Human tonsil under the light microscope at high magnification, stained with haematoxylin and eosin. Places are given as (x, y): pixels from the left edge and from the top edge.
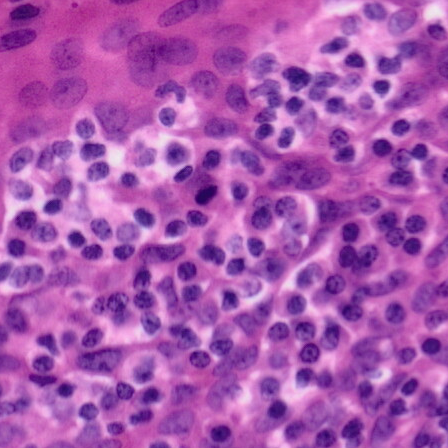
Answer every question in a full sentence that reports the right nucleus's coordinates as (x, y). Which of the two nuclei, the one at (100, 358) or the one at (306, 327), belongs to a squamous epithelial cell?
Of the two nuclei, that at (100, 358) is the nucleus of a squamous epithelial cell.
